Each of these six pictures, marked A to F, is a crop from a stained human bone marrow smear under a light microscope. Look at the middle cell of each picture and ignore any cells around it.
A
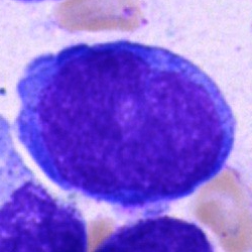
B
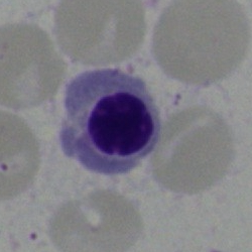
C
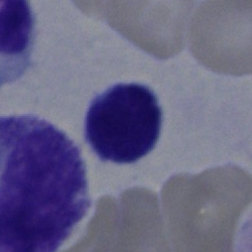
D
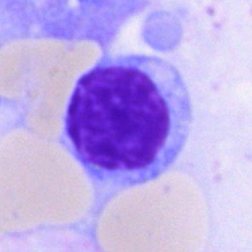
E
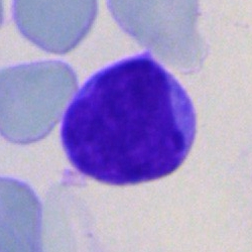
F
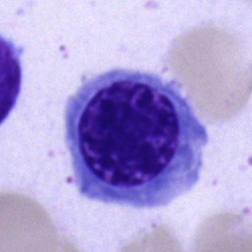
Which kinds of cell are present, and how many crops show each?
blast: 2
erythroblast: 2
lymphocyte: 2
